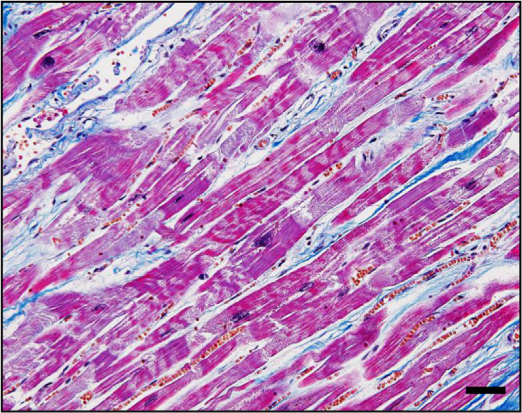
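Myocardium with cardiac muscle fibers cut lengthwise, running diagonally. Fibers stain red to magenta and are crossed by irregular dark magenta transverse bands alternating with paler, patchy zones. Thin blue strands of connective tissue lie between fibers. Orange-red red blood cells line up in rows within capillaries between the fibers. Dark-stained nuclei are scattered; inflammatory cells are few.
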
